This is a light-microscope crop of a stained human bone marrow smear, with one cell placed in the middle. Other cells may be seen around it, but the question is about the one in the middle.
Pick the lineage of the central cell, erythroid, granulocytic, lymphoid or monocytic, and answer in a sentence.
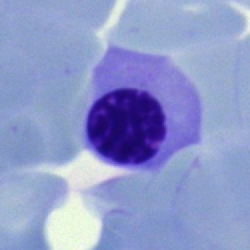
That the central cell belongs to the erythroid lineage is the finding here.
